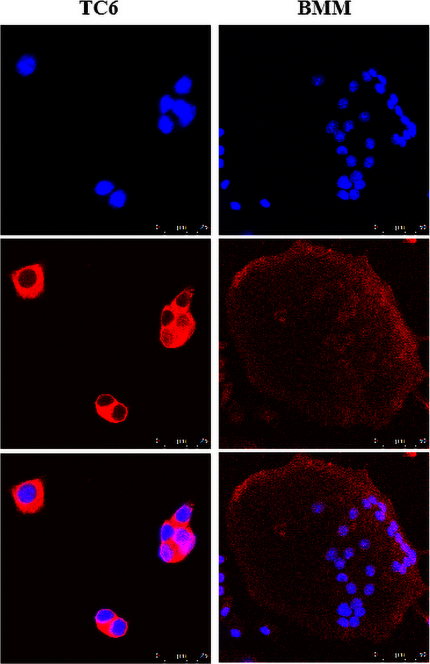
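Mature osteoclast beside small rounded cells, shown in blue, red and merged channels. In the left column a few small round cells, singly or in small clusters, each hold one blue nucleus surrounded by a bright red cytoplasm. In the right column a single very large, flattened cell with a finely granular red cytoplasm spreads across the field and contains many blue nuclei grouped toward one side. Other single nuclei lie outside the large cell.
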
